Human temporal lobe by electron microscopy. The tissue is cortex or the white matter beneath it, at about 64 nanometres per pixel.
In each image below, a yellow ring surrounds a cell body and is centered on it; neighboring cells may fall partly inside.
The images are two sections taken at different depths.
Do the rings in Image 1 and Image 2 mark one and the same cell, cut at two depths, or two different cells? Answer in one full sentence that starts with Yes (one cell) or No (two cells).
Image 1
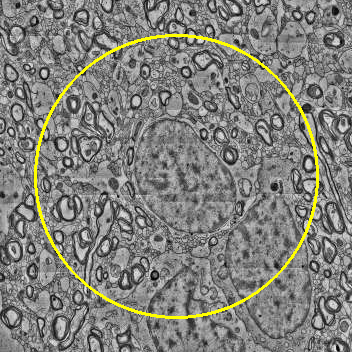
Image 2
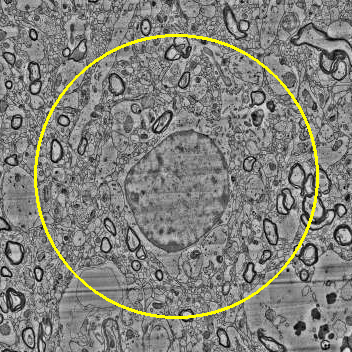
No, there are two different cells marked by the rings.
